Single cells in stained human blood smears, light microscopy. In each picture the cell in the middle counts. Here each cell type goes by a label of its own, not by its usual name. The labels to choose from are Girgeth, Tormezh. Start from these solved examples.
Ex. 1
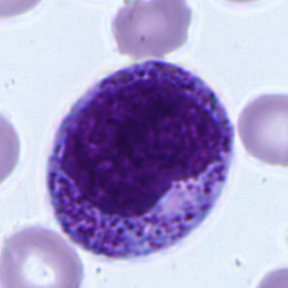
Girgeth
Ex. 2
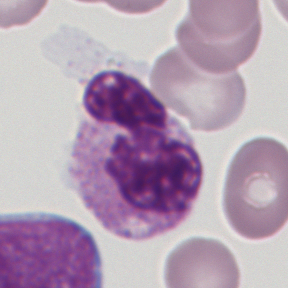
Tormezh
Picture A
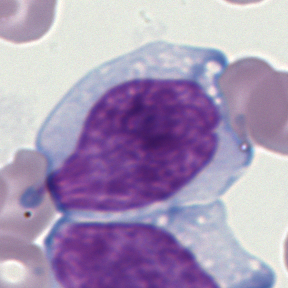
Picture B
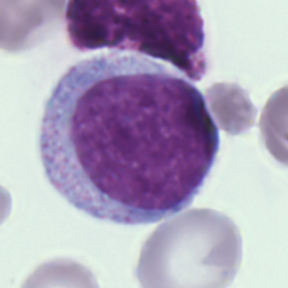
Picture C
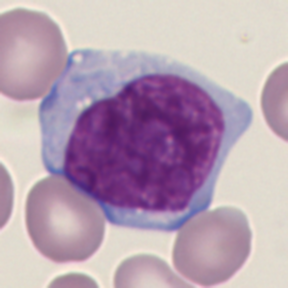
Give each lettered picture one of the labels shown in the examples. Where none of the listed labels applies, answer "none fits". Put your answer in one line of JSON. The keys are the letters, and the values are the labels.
{"A": "none fits", "B": "Girgeth", "C": "none fits"}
